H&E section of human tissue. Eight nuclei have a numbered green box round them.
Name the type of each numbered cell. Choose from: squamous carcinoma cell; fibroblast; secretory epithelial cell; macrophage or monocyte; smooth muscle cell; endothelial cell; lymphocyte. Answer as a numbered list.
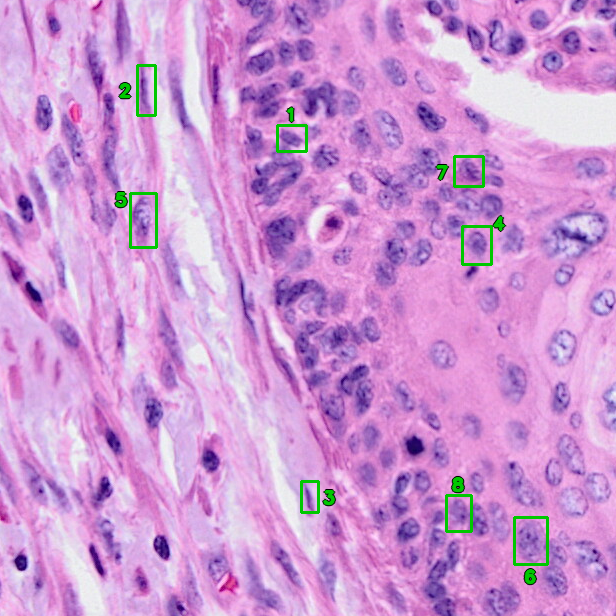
1. squamous carcinoma cell
2. fibroblast
3. fibroblast
4. squamous carcinoma cell
5. endothelial cell
6. squamous carcinoma cell
7. squamous carcinoma cell
8. squamous carcinoma cell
